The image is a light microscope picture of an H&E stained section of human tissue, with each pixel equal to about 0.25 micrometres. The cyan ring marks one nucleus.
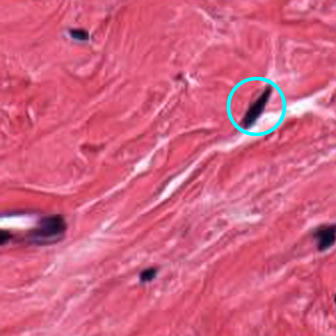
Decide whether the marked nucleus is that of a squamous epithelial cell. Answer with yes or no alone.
no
